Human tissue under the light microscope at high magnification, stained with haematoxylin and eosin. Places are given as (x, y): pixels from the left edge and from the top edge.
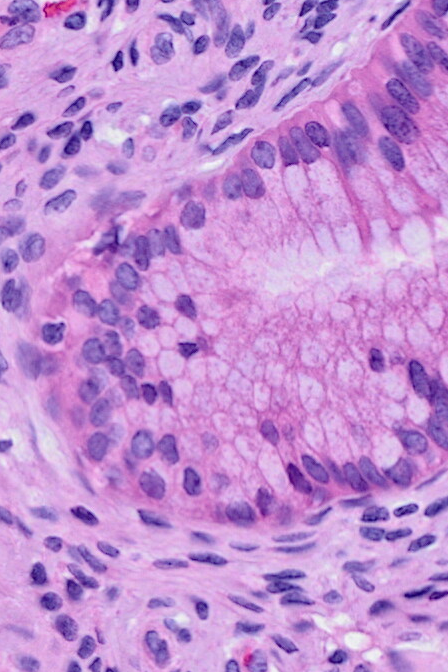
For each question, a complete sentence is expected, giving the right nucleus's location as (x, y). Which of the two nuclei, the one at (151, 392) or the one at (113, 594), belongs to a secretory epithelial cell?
It is the nucleus at (151, 392) that belongs to a secretory epithelial cell.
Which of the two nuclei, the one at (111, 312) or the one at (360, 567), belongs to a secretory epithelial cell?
The one nucleus of the two that belongs to a secretory epithelial cell is at (111, 312).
